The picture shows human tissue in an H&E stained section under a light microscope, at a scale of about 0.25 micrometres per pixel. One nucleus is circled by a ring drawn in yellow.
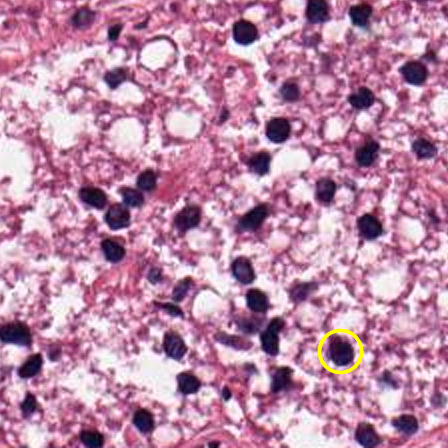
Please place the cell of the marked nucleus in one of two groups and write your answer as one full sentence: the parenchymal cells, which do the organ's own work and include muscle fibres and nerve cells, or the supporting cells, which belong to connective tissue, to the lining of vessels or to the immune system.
The marked nucleus is ascribed to a parenchymal cell, namely an adrenal cortical cell.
